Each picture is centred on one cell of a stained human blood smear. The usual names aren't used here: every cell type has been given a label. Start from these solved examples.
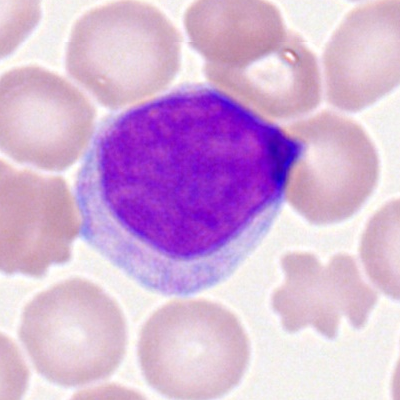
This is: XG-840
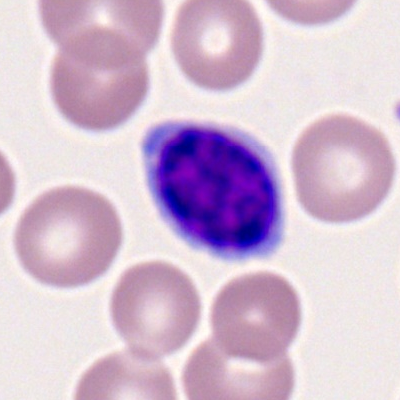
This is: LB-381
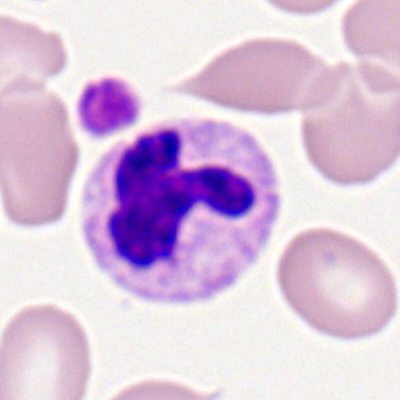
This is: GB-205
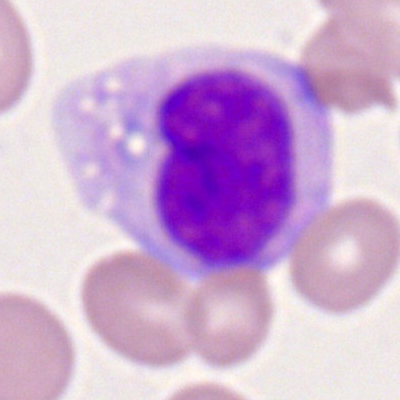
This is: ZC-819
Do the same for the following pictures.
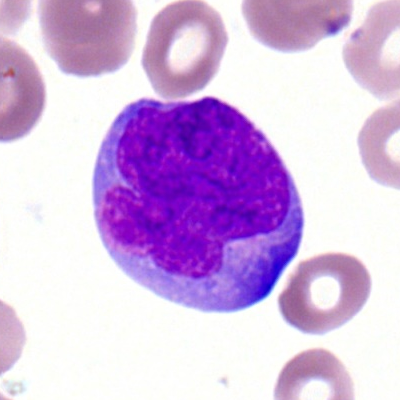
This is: XG-840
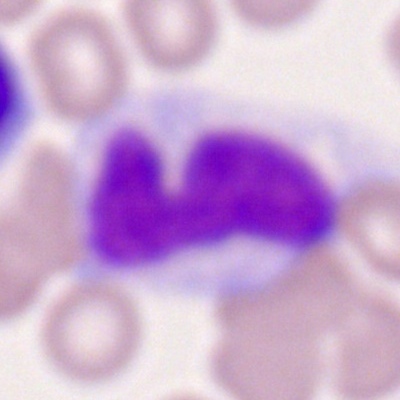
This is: ZC-819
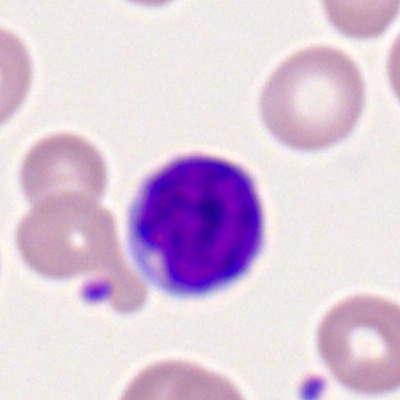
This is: LB-381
